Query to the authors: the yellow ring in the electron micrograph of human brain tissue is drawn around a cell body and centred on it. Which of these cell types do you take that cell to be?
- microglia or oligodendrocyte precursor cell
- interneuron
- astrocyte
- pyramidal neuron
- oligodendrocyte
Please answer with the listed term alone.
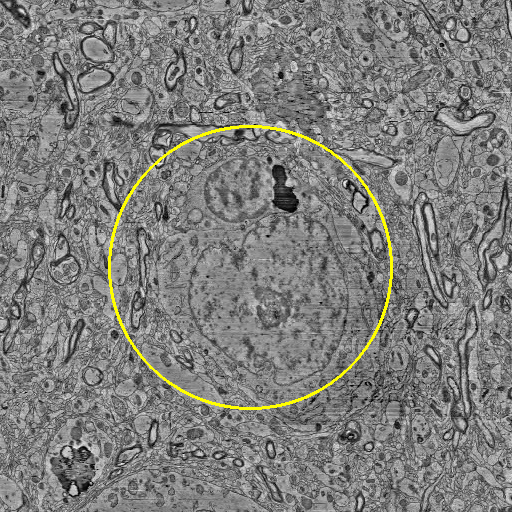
interneuron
